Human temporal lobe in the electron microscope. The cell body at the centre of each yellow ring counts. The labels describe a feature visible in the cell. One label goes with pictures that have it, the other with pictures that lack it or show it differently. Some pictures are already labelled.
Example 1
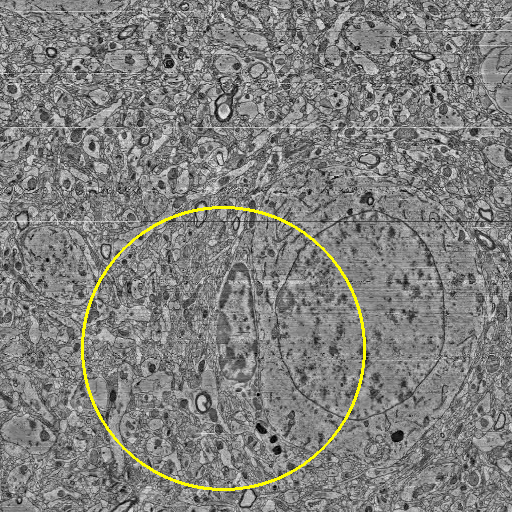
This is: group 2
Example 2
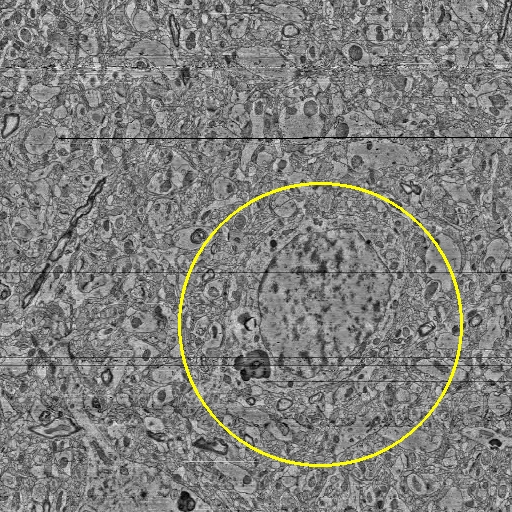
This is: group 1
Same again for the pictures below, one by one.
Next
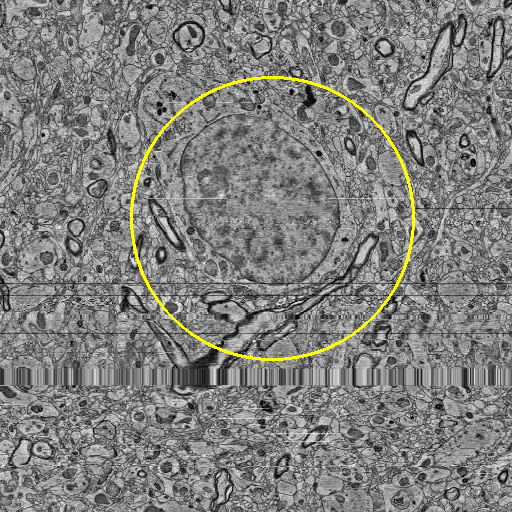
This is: group 1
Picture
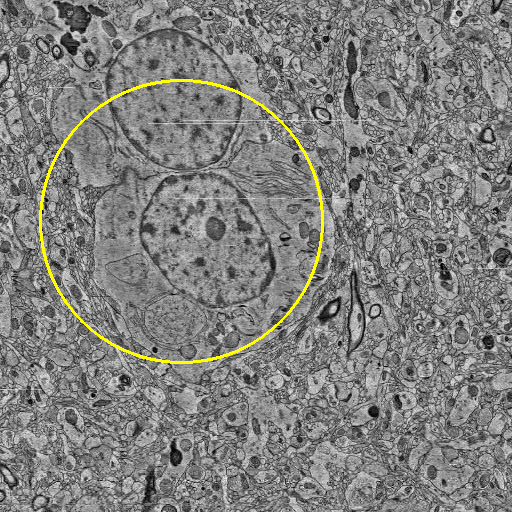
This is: group 1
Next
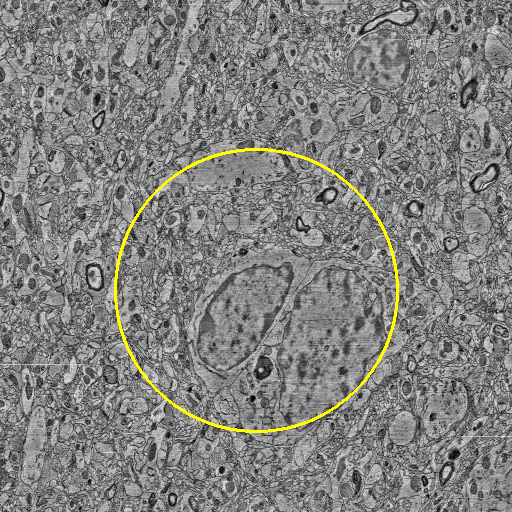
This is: group 2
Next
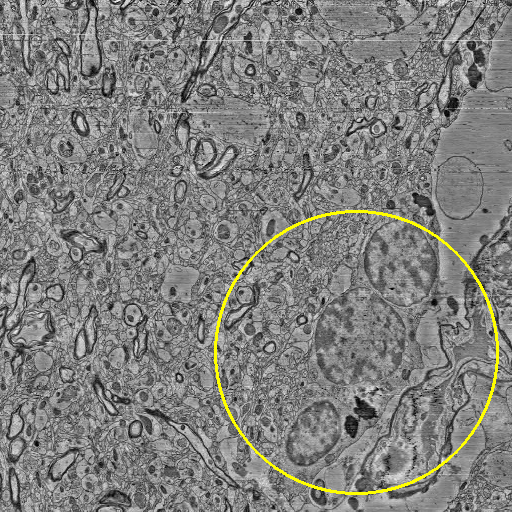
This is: group 1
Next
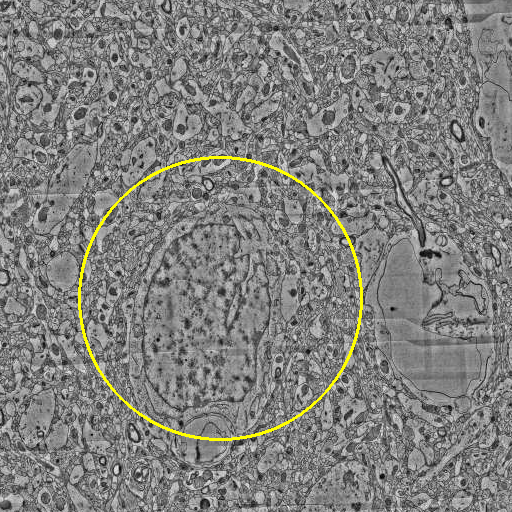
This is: group 2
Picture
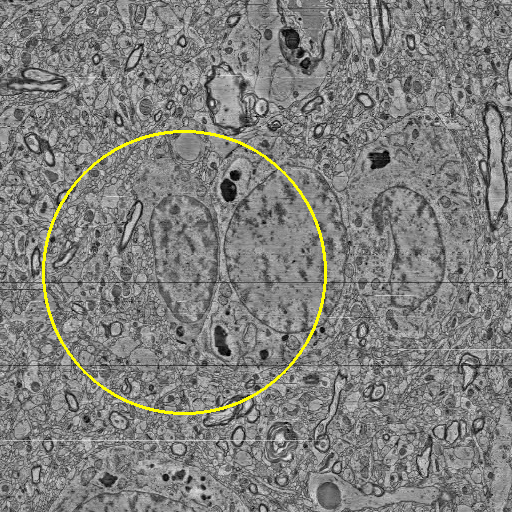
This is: group 2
